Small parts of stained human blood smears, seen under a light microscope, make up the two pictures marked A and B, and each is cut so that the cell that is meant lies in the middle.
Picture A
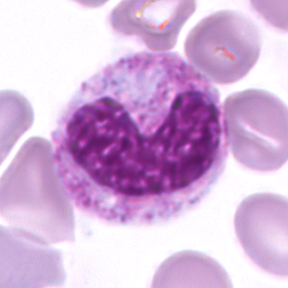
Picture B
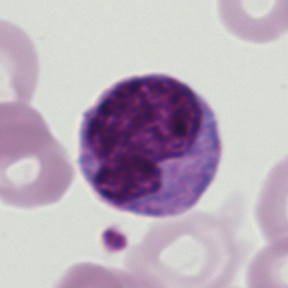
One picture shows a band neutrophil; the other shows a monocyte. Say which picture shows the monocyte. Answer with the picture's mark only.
B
